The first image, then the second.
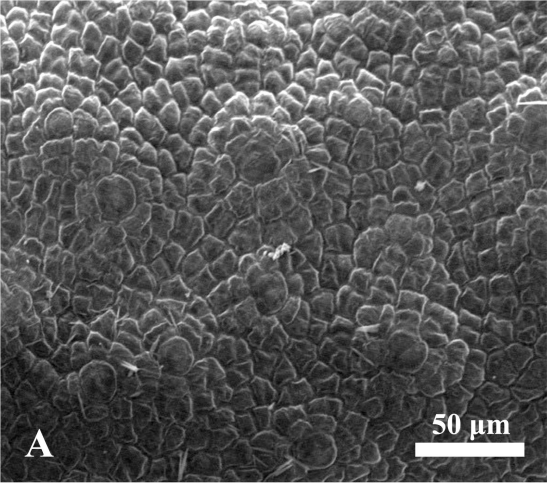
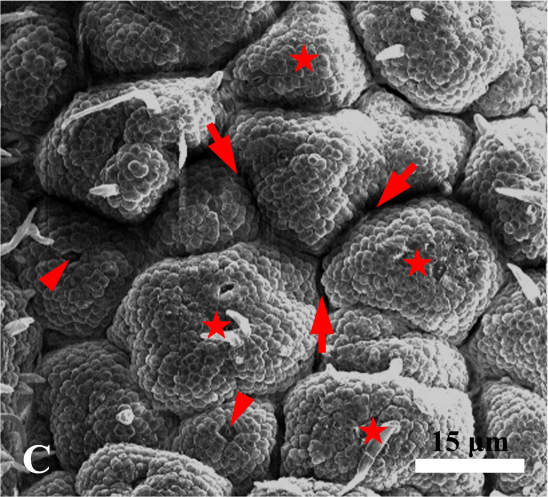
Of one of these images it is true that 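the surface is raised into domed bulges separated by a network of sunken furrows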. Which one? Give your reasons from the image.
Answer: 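Second image: large rounded bulges with deep grooves running between them. First image: a fairly even surface of small polygonal cells without deep grooves. On this evidence: the second image.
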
